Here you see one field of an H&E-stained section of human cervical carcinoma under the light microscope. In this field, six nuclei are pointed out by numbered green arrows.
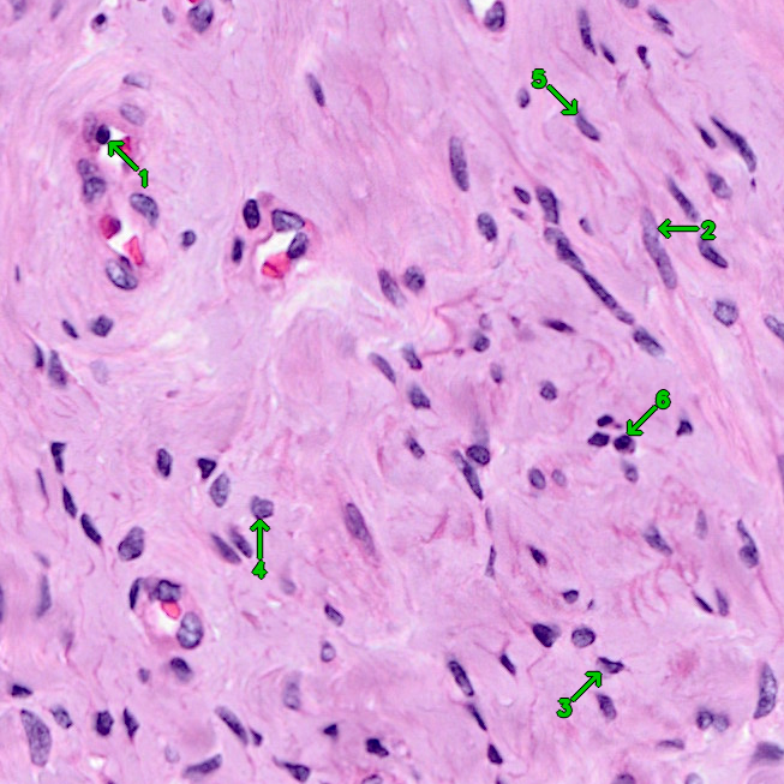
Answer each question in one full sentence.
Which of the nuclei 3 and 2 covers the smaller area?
With nucleus 2 about 1.5 times its size, nucleus 3 is the smaller of the two.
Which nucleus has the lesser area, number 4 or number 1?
With nucleus 4 about 1.5 times its size, nucleus 1 is the smaller of the two.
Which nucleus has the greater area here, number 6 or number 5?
The larger nucleus is 5, at roughly 1.5 times the area of 6.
